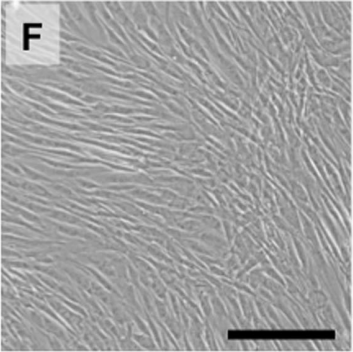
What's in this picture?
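The cells are long and spindle-shaped with tapering ends, and they lie side by side in parallel streams that sweep across the field. Neighbouring streams meet at angles, giving a loosely wavy pattern typical of fibroblast cultures.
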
